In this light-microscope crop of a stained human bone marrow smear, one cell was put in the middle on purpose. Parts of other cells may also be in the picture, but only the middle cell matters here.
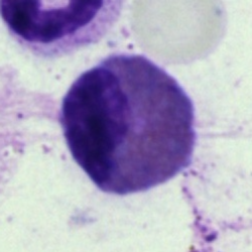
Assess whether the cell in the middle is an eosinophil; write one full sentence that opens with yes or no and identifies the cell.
Yes, the centered cell in this field is an eosinophil.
